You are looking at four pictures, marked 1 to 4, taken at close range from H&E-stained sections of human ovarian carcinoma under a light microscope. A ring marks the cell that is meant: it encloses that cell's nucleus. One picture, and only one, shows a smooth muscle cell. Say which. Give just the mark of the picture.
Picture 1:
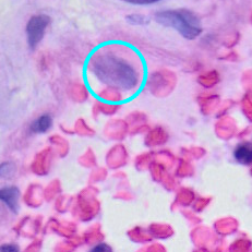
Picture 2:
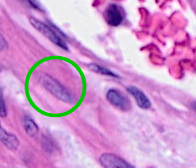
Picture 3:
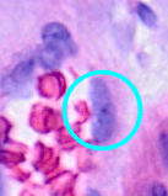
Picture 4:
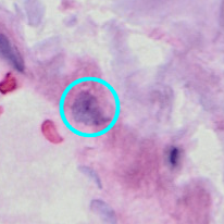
2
